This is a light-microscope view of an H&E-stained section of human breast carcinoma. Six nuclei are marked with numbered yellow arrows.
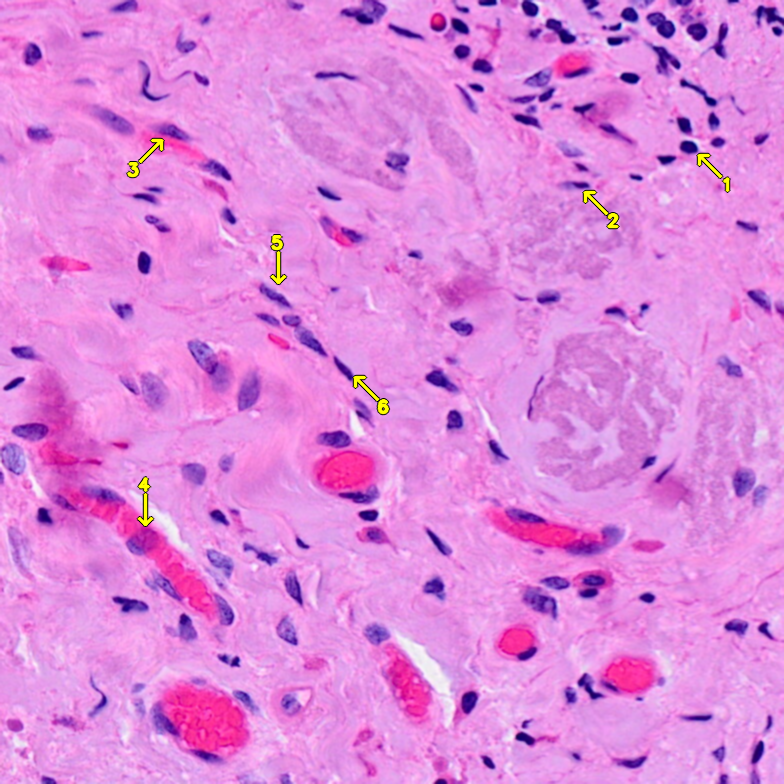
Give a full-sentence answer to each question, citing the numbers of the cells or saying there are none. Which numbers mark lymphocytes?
Cell 1 is the single numbered cell that is a lymphocyte.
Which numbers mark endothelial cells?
To be specific, the cells numbered 3 and 4 are endothelial cells.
